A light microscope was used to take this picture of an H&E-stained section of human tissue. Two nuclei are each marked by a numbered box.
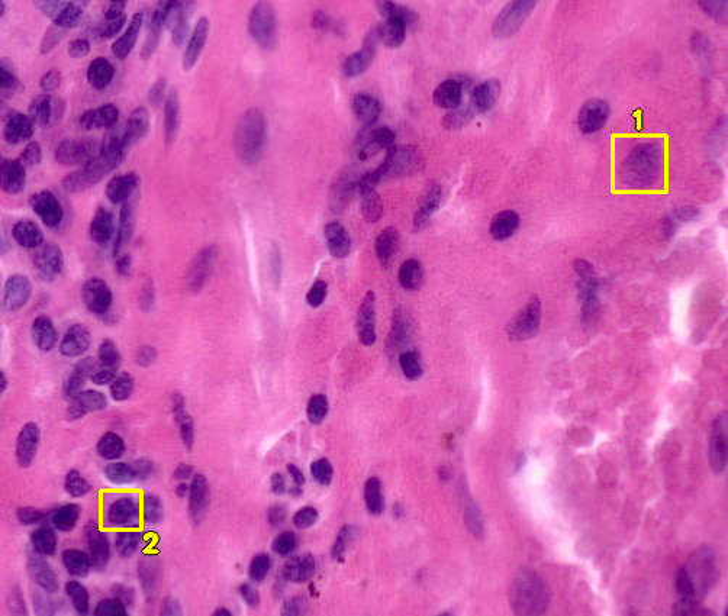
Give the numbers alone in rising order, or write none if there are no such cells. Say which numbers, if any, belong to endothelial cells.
1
